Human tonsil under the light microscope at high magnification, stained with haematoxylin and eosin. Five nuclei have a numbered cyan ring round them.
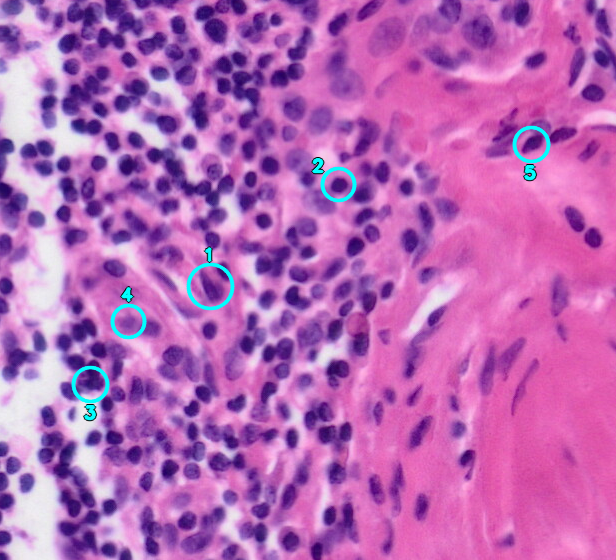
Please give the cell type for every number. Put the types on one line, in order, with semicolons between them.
endothelial cell; endothelial cell; small lymphocyte; endothelial cell; mast cell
